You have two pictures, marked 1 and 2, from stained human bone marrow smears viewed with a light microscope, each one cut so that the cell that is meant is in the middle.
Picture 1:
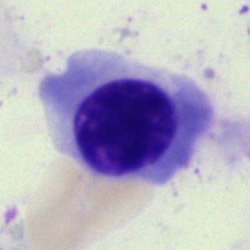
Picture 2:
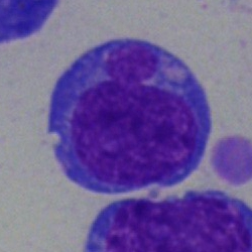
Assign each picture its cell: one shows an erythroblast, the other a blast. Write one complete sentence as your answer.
Picture 1 is of an erythroblast, and picture 2 is of a blast.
